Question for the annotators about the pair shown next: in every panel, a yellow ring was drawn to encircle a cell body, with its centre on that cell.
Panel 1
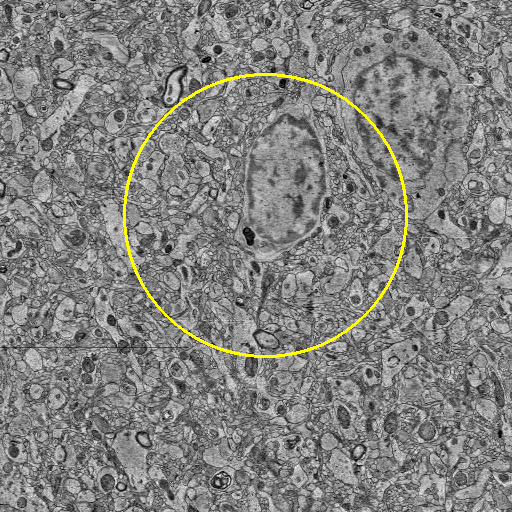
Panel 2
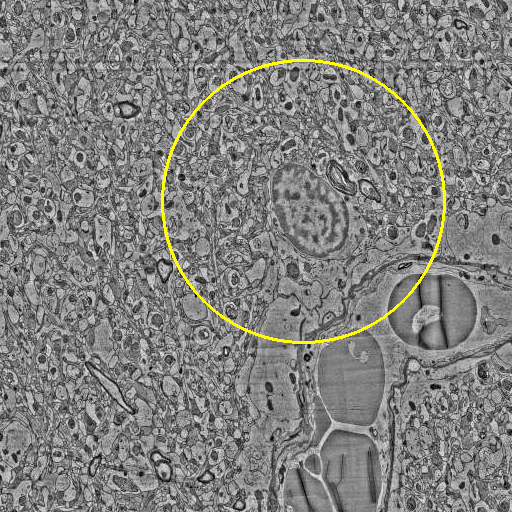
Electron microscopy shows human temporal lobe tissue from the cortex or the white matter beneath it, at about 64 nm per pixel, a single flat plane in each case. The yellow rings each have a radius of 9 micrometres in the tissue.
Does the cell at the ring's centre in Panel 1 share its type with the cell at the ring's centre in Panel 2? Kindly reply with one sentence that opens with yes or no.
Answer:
No, in Panels 1 and 2 the cells at the ring centres belong to separate types.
